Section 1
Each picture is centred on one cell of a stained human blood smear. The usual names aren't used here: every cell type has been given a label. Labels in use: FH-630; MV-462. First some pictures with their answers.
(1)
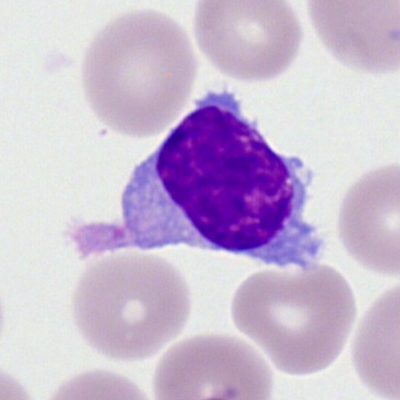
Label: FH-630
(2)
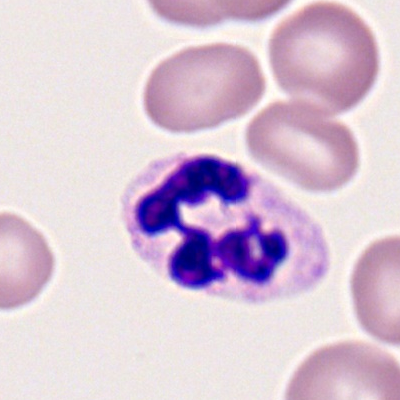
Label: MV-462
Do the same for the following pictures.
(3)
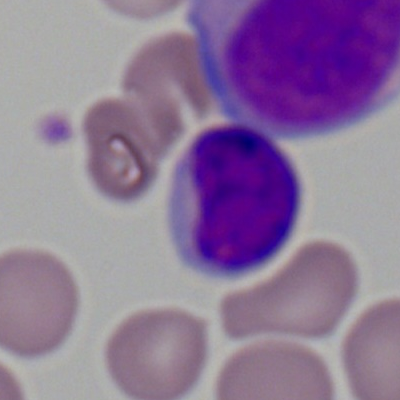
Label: FH-630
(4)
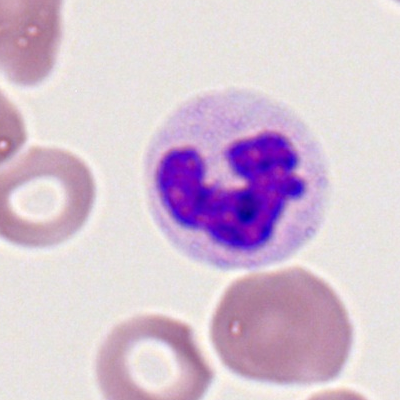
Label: MV-462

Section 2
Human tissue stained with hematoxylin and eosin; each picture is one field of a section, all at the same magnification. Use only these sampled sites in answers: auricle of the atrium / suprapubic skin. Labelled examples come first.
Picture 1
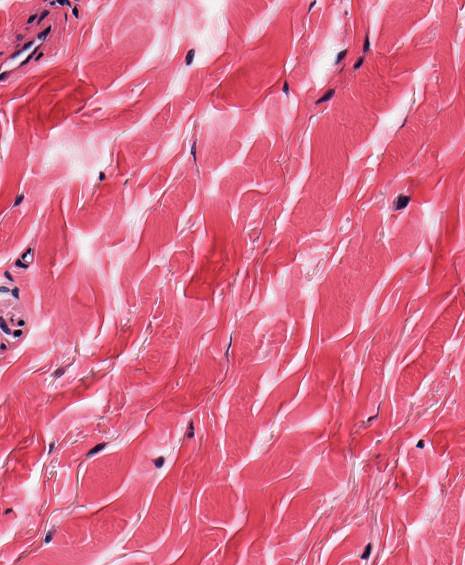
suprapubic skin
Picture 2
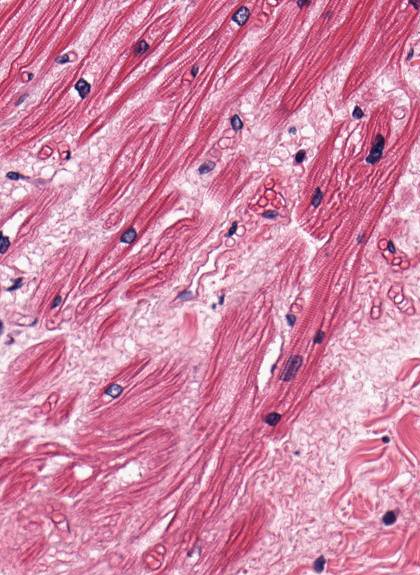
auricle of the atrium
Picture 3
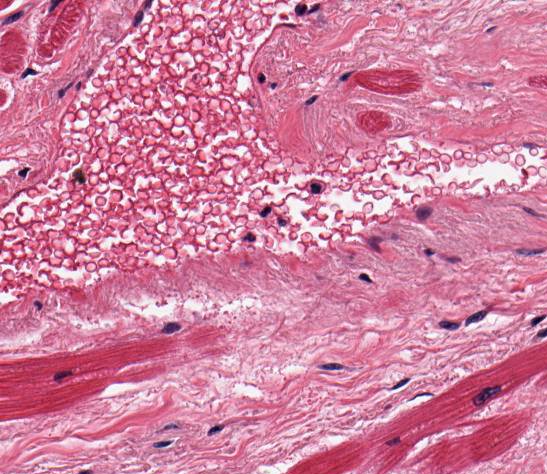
auricle of the atrium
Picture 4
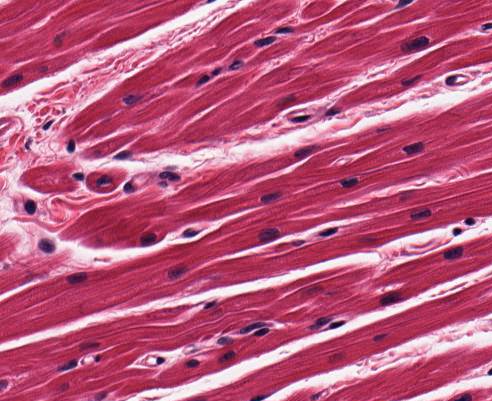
auricle of the atrium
